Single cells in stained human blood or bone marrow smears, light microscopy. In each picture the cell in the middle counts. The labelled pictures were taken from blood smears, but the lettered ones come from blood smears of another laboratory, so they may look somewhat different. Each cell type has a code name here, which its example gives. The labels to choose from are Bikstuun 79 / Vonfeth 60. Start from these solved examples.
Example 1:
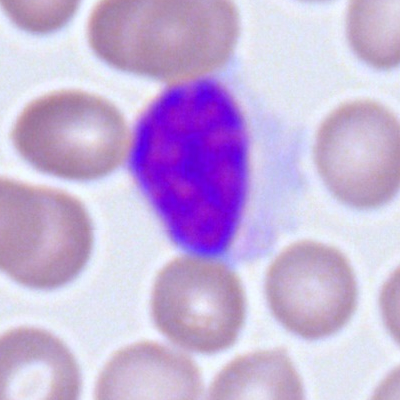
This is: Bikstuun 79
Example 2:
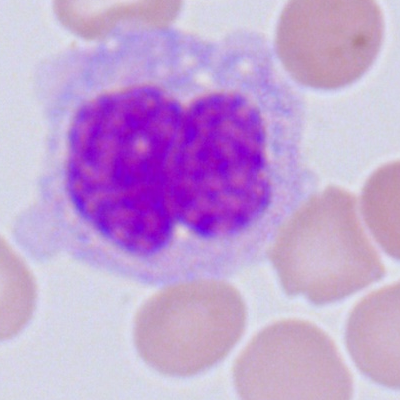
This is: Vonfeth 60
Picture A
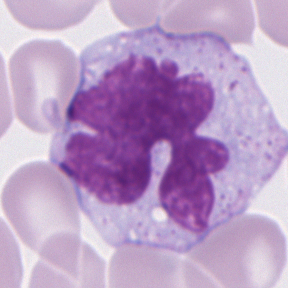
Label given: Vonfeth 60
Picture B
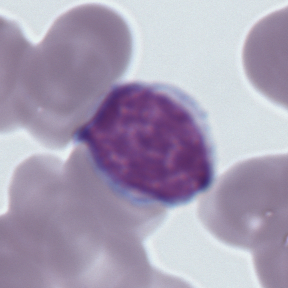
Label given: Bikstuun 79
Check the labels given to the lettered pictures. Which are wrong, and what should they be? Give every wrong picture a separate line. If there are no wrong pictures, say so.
All labels are correct.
